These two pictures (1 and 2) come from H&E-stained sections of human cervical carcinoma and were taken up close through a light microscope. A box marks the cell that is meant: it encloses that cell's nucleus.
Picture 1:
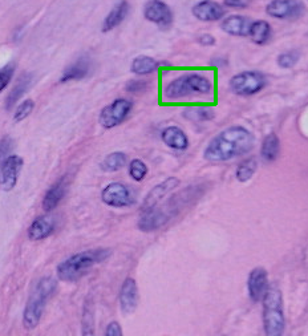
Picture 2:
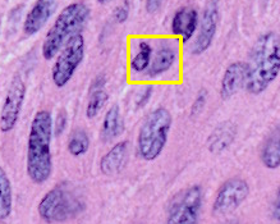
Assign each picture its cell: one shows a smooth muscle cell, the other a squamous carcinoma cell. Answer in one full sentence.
The cell in picture 1 is a smooth muscle cell, and the one in picture 2 is a squamous carcinoma cell.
